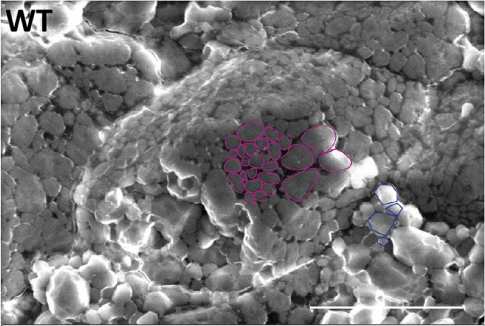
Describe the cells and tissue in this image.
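Many granules are rounded and smooth, and some of these are outlined in magenta, while others are angular with flat faces, and a few of those are outlined in blue. The granules lie tightly packed with little space between them, and a broad rounded region stands out near the centre of the field.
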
